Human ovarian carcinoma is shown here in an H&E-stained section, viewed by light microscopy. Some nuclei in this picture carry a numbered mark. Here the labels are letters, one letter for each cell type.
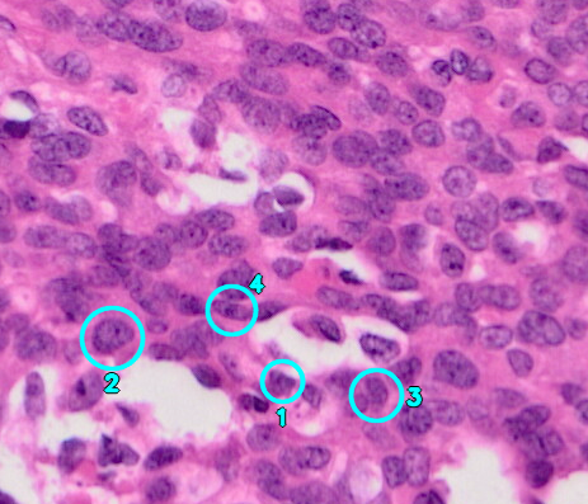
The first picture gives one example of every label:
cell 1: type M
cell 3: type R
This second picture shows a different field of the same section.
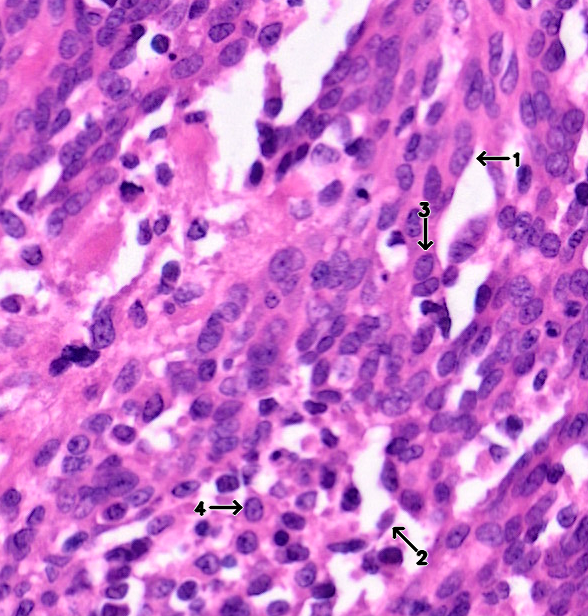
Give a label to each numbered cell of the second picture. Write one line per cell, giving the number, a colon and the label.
1: type R
2: type R
3: type R
4: type M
